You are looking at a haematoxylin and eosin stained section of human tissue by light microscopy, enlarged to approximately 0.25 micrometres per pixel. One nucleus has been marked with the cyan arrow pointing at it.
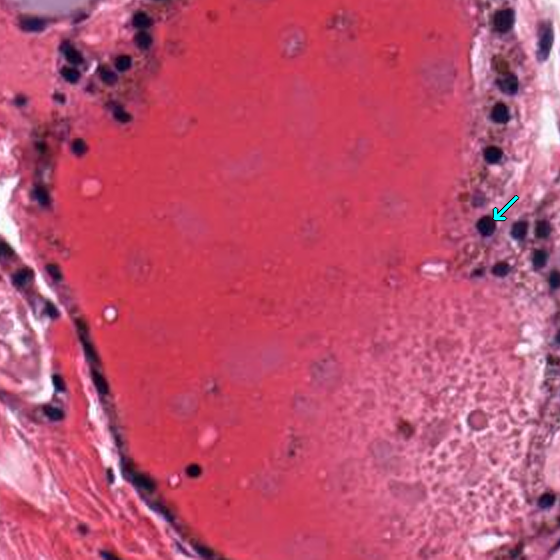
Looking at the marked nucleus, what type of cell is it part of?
thyroid follicular cell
